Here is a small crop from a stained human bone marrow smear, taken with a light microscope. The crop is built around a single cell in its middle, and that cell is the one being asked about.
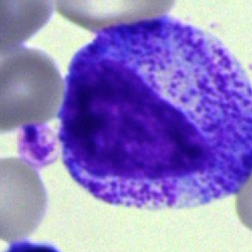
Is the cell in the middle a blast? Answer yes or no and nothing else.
no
